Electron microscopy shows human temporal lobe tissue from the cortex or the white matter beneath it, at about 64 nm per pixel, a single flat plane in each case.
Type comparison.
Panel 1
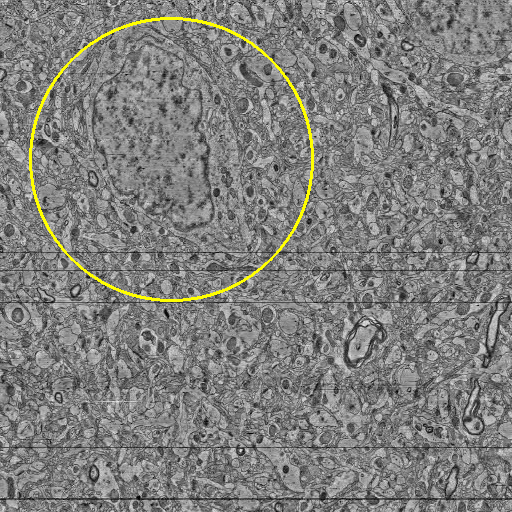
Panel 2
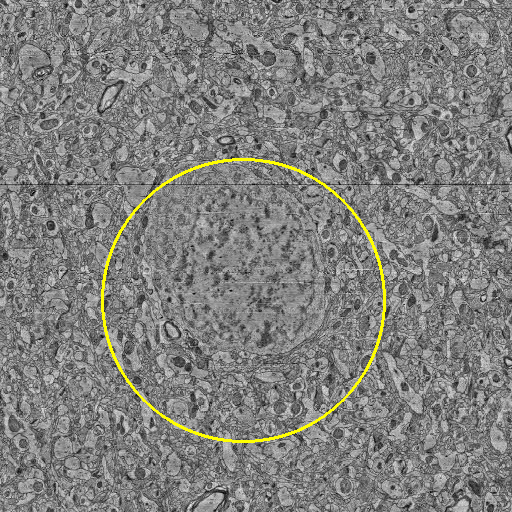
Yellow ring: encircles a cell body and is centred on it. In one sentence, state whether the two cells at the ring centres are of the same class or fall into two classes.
In these panels, the two cells at the ring centres are of the same class.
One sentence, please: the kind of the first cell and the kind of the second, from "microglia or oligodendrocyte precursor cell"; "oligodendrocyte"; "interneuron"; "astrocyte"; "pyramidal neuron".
Each of the ringed cells, first and second, is an interneuron.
